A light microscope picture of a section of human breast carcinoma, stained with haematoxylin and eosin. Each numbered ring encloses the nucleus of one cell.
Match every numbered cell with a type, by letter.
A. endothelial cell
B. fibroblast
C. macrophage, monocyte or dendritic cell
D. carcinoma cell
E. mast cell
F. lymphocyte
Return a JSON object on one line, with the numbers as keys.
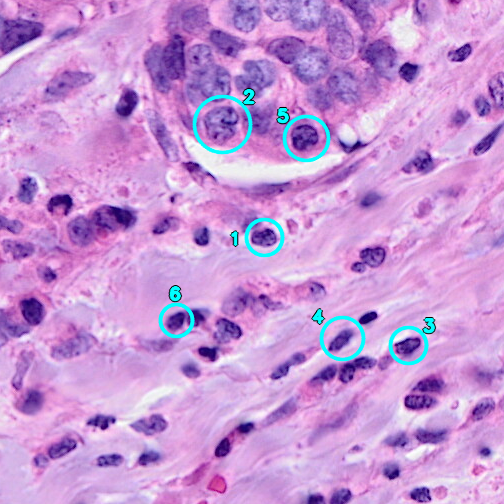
{"1": "F", "2": "D", "3": "F", "4": "F", "5": "D", "6": "F"}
